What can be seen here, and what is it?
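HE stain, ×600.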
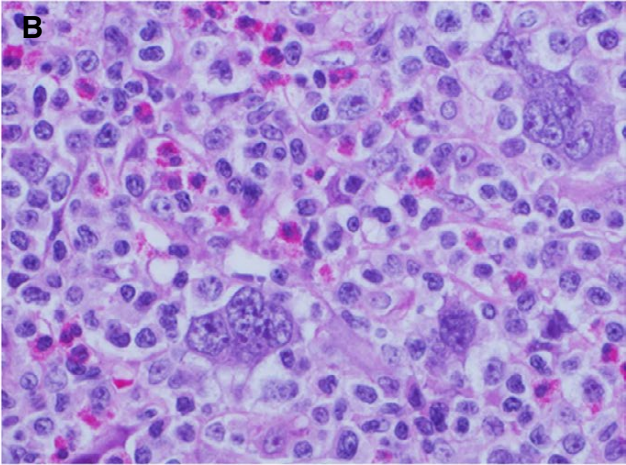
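This is a dense lymphoid infiltrate made of many small to medium-sized cells with round to irregular dark nuclei and little cytoplasm. Bright red granular cells, likely eosinophils, are sprinkled through the background. The large cells with multiple nuclei and prominent nucleoli fit Hodgkin and Reed Sternberg cells lying in a background of smaller lymphoid cells.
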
